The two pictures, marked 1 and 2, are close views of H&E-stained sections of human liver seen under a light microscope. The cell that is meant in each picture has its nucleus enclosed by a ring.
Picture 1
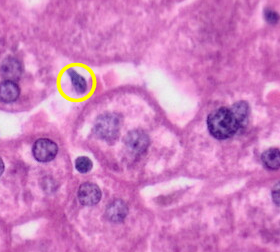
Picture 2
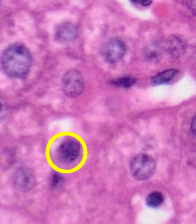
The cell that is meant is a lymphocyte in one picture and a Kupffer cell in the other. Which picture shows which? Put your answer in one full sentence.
In picture 1 the cell is a lymphocyte; in picture 2, a Kupffer cell.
